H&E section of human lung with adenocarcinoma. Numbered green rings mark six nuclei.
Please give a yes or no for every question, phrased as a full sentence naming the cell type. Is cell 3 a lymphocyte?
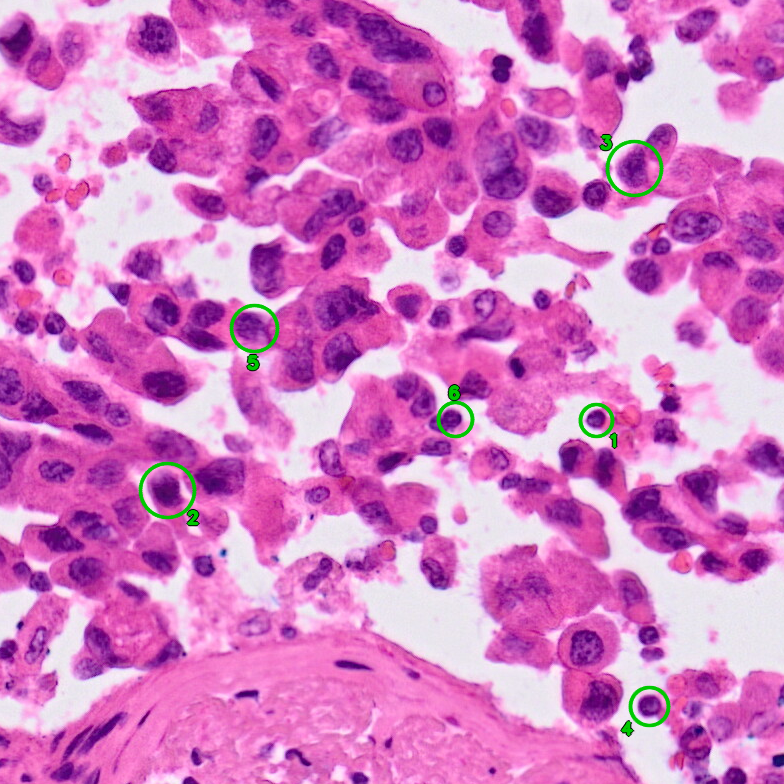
No, cell 3 is a carcinoma cell, not a lymphocyte.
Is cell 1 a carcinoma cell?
No, cell 1 represents a lymphocyte rather than a carcinoma cell.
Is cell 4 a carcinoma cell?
No, cell 4 is not a carcinoma cell: it is a lymphocyte.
